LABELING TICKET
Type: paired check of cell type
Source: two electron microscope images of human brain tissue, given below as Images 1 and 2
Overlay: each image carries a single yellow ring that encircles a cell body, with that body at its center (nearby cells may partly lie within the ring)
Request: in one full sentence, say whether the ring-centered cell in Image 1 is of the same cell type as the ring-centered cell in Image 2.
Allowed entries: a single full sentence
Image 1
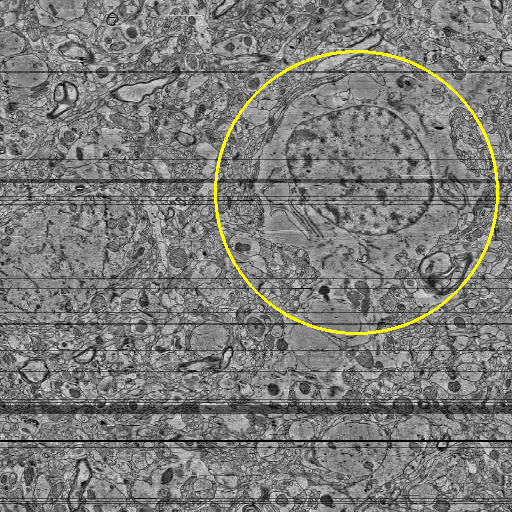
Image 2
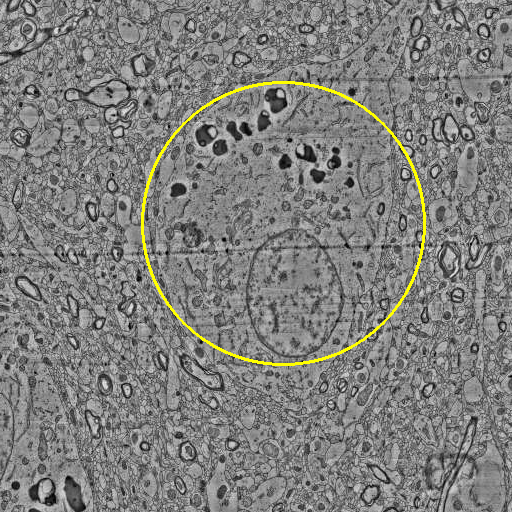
No, the cells centered in the rings of Image 1 and Image 2 are of two types.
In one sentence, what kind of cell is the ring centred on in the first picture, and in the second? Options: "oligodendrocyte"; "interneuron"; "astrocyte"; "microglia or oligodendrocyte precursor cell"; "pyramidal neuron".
The cell at the centre of the second ring is a pyramidal neuron; the first ring's cell is an astrocyte.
